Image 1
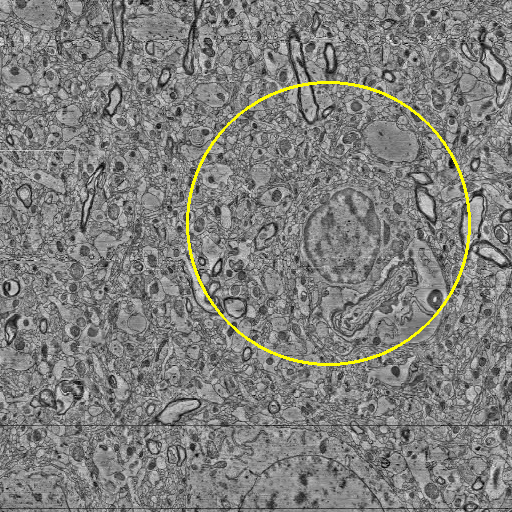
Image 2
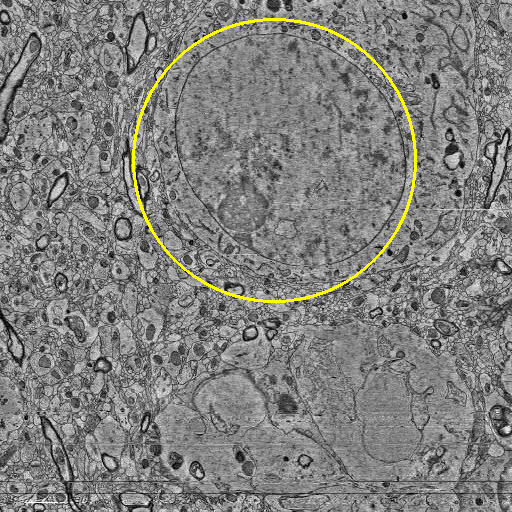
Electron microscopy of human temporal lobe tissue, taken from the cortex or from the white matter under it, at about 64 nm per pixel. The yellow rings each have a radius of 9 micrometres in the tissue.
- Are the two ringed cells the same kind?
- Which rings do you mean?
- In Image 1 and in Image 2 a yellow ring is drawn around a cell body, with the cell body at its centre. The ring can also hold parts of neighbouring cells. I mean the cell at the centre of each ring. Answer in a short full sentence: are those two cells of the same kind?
No, the cells are of two kinds.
